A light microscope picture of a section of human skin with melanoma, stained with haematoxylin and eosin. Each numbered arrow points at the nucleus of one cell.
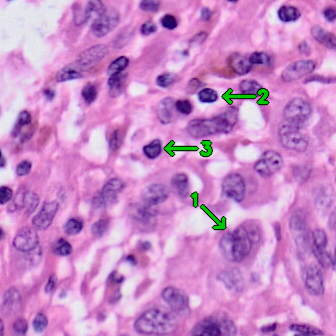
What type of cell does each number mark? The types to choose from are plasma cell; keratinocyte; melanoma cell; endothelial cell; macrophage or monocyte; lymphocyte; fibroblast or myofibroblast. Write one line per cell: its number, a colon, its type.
1: melanoma cell
2: lymphocyte
3: lymphocyte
